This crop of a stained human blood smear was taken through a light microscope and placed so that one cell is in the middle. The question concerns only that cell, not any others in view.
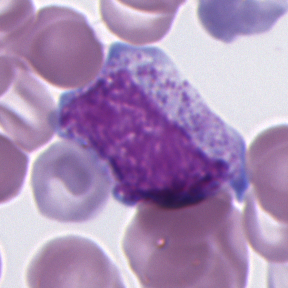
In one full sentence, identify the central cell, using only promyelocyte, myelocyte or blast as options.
The cell at the central position in this crop is a promyelocyte.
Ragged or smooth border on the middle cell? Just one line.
The border of the cell is irregular, being either ragged or extended into projections.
